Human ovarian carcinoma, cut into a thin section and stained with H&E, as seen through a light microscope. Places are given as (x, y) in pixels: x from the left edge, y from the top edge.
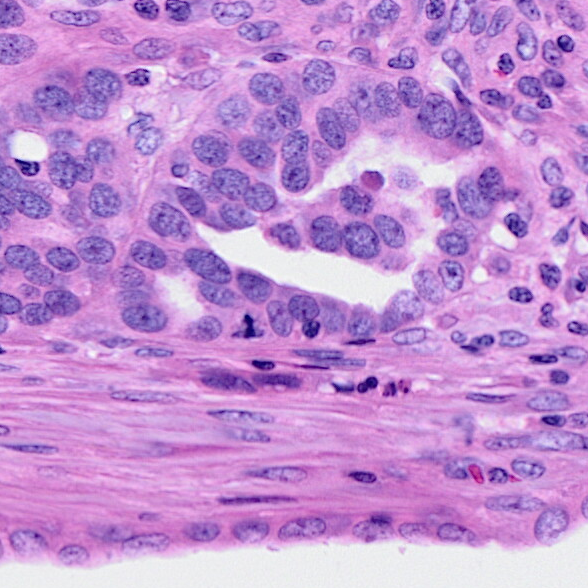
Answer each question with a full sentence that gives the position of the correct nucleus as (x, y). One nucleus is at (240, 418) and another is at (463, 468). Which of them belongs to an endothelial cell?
Of the two nuclei, the nucleus belonging to an endothelial cell is located at (463, 468).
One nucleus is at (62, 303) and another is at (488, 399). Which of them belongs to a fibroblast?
The nucleus belonging to a fibroblast is the one at (488, 399).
